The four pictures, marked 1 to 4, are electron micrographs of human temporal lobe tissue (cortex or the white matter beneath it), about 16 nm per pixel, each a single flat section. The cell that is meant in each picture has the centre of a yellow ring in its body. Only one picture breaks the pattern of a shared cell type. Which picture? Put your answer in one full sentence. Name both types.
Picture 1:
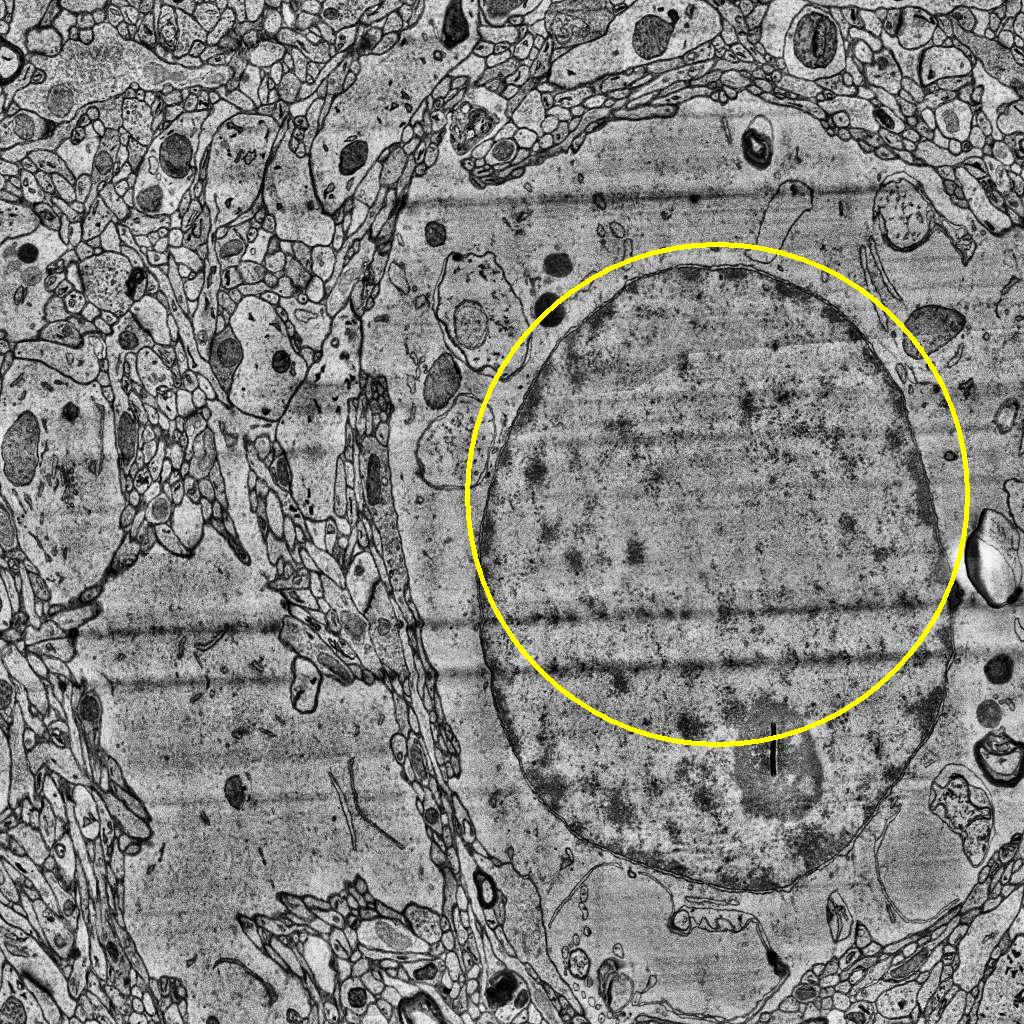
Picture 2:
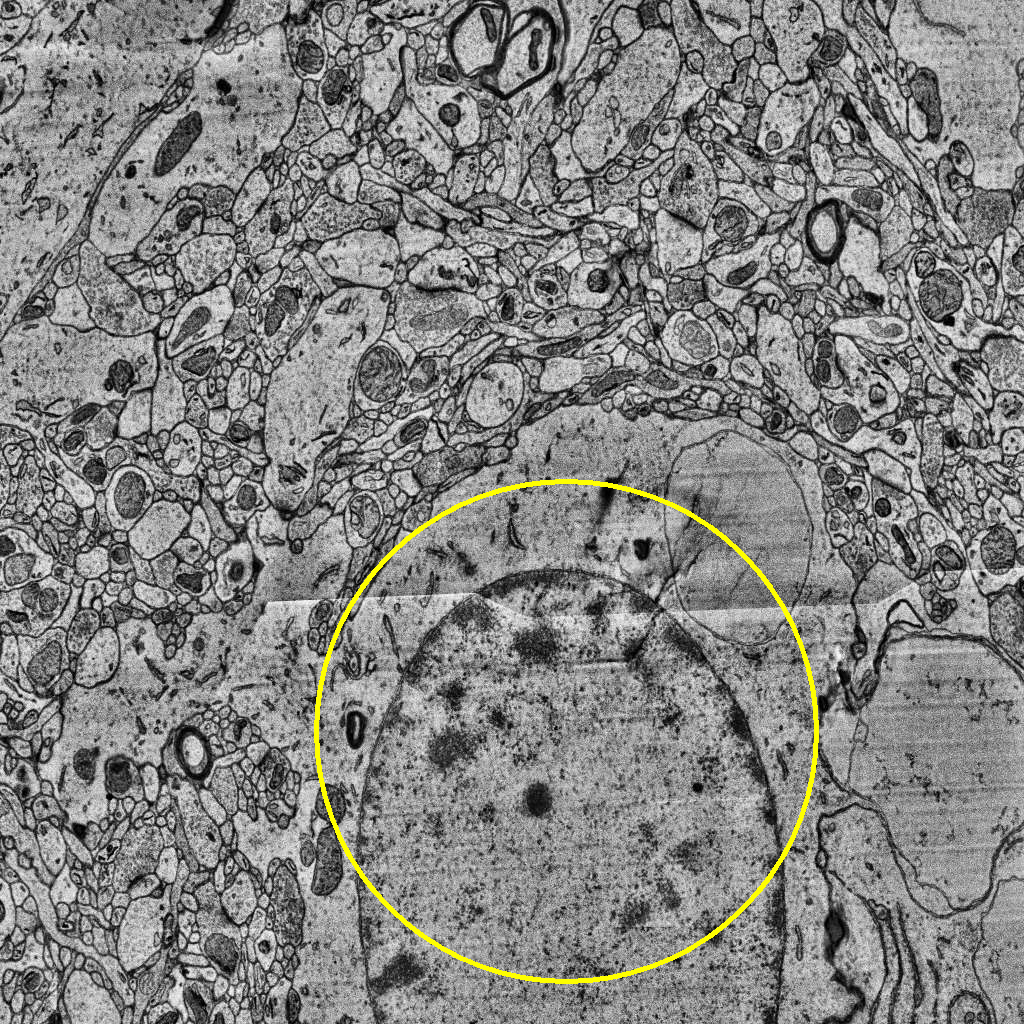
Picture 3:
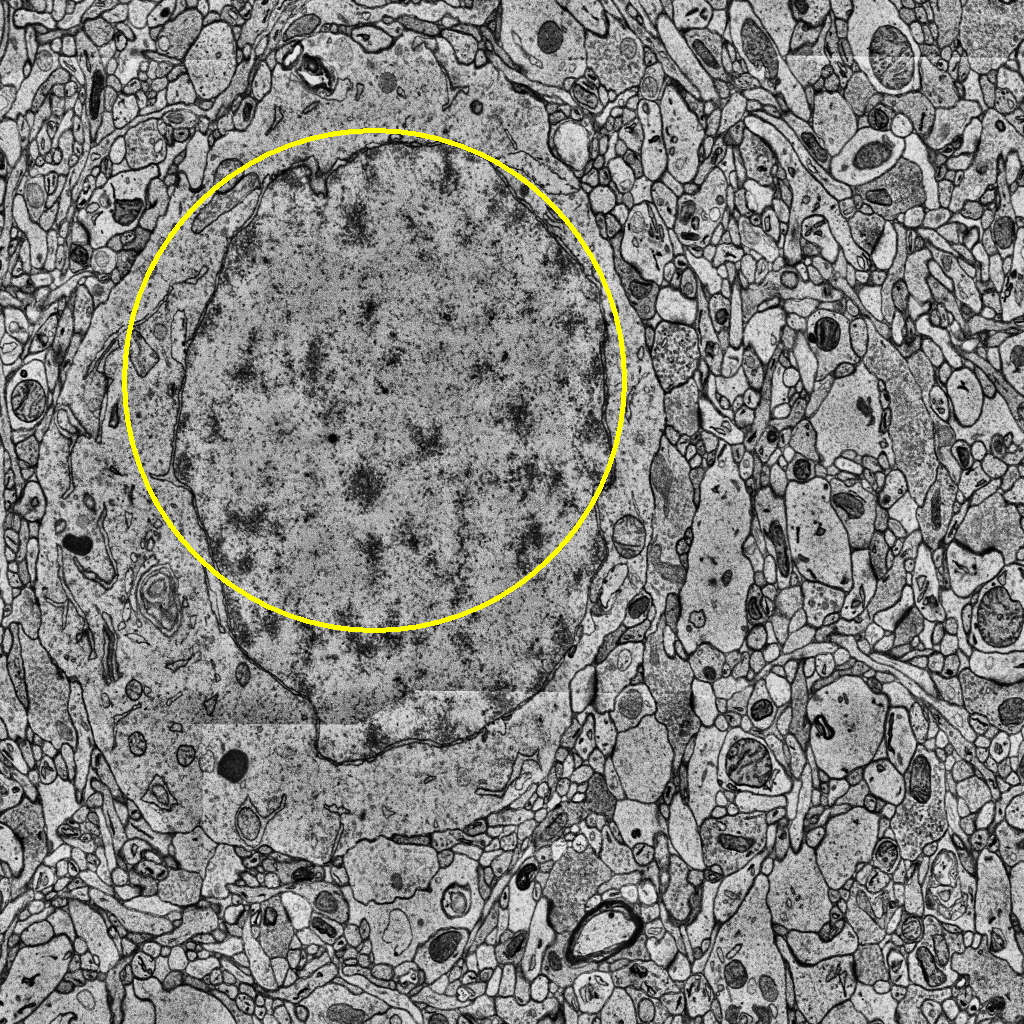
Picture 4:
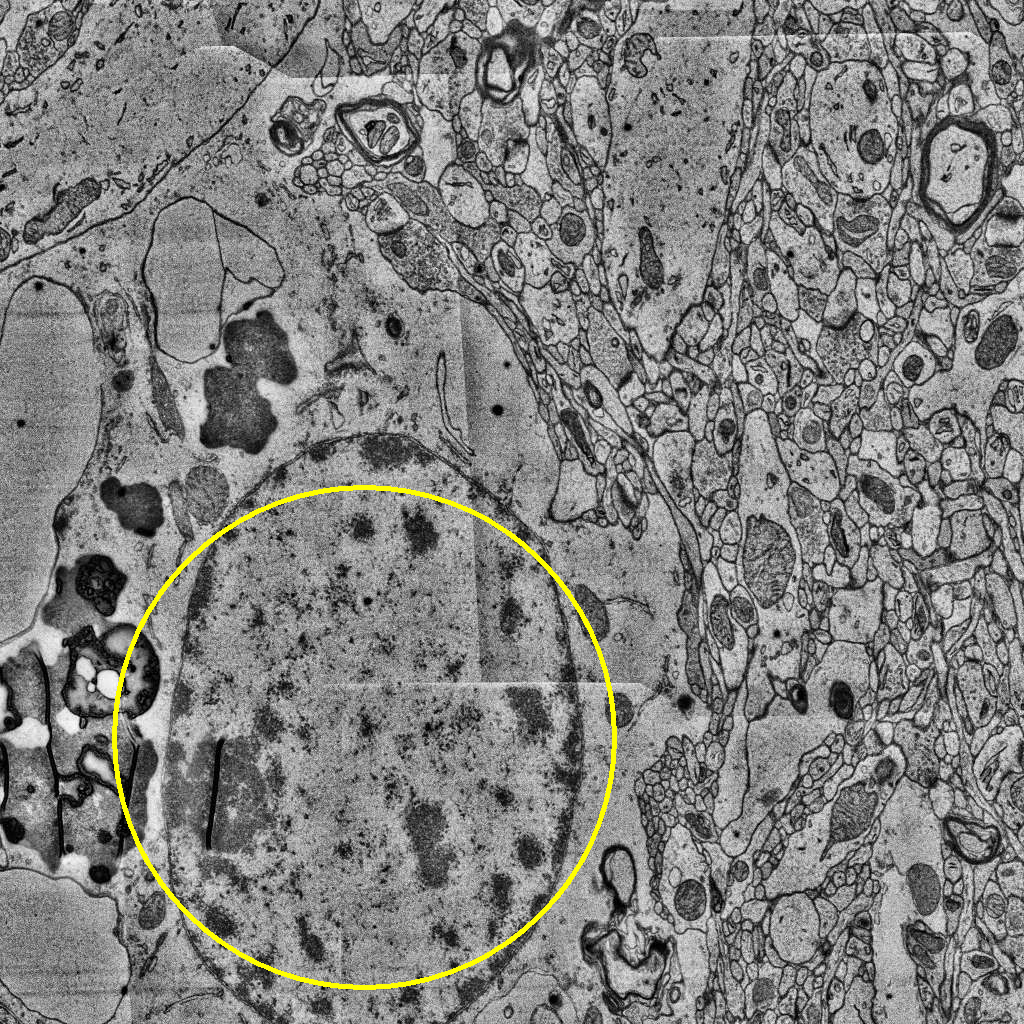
Picture 3 differs, because its cell is an interneuron and the rest are astrocytes.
